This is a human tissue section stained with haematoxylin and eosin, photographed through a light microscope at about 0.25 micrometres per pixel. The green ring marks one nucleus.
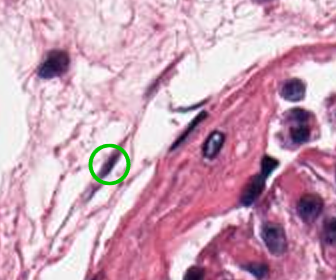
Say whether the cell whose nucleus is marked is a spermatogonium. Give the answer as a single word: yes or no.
no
